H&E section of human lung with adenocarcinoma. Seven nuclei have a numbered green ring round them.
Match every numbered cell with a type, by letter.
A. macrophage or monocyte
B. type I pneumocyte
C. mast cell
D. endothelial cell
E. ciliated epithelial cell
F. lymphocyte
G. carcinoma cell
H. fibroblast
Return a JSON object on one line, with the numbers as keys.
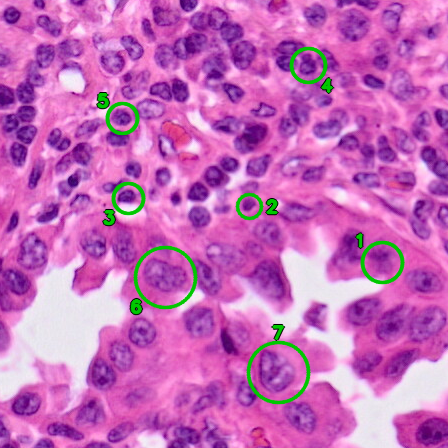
{"1": "G", "2": "F", "3": "F", "4": "F", "5": "F", "6": "G", "7": "G"}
